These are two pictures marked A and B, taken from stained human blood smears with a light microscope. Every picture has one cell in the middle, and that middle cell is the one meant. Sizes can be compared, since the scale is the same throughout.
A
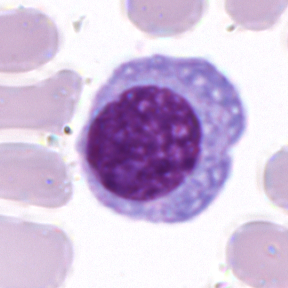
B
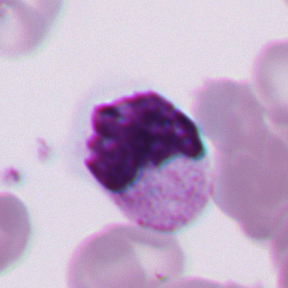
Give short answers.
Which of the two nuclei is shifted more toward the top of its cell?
B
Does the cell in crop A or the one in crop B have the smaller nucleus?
B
